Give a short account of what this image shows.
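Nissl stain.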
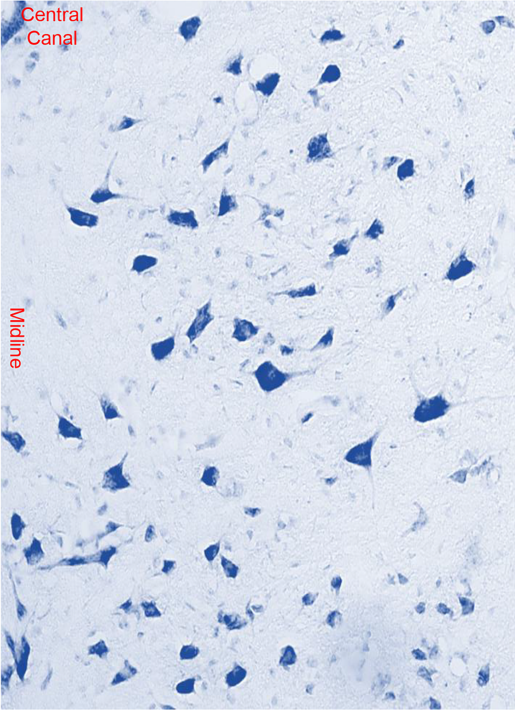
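The neuronal cell bodies are stained dark blue and are polygonal to triangular, many with tapering processes running out from the soma. The neurons are scattered fairly evenly through a pale, finely textured neuropil. Smaller, lighter profiles between the large cells probably belong to glia and to neuronal processes cut across.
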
